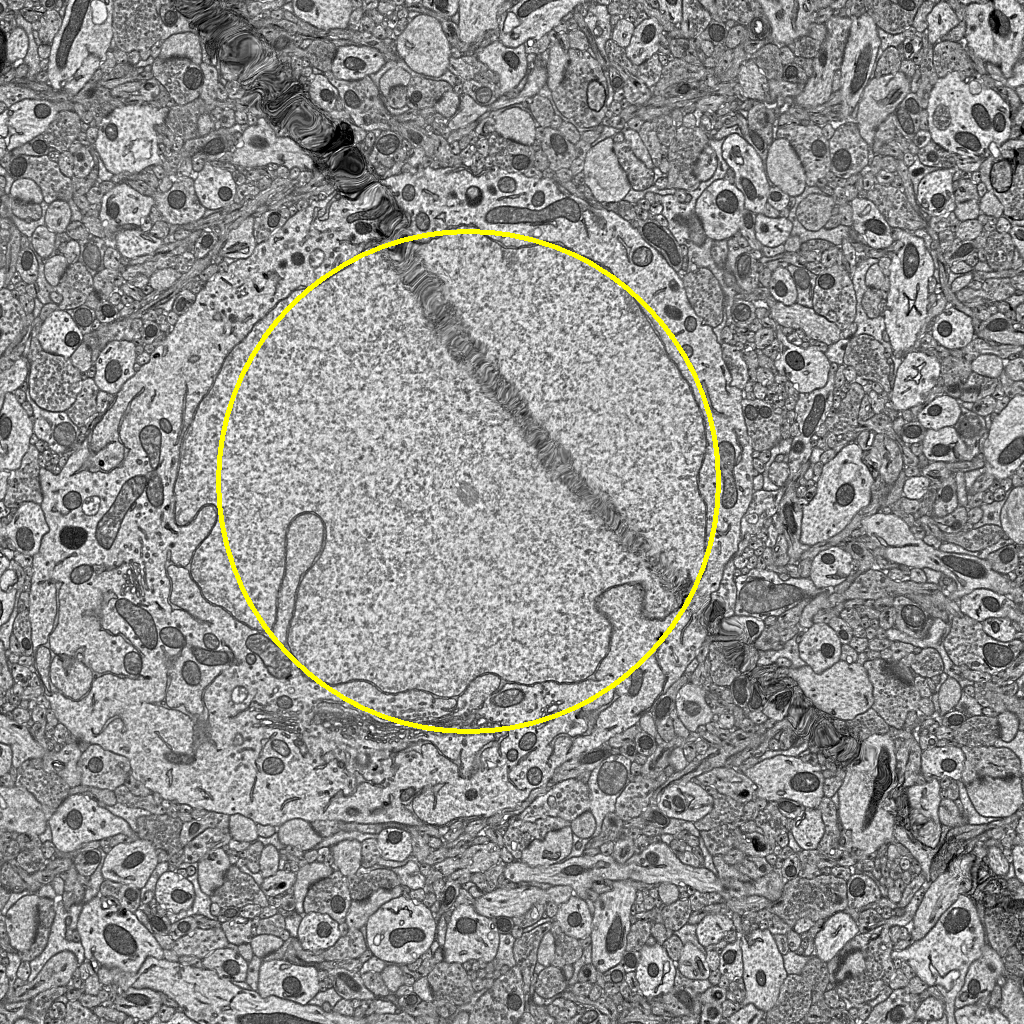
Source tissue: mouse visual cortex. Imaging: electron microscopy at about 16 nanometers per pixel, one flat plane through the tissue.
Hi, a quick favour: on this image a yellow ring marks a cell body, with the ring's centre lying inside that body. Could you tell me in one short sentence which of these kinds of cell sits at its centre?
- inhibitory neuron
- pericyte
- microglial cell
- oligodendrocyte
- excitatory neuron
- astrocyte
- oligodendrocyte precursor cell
The ring's centre lies in an inhibitory neuron.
